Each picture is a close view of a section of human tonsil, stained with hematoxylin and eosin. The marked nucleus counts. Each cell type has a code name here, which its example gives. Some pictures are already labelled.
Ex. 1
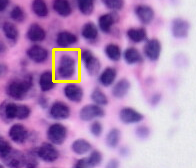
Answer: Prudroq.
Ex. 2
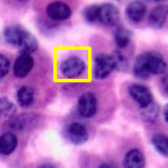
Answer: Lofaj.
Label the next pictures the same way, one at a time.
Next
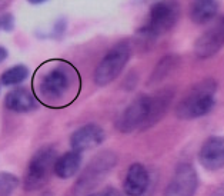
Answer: Lofaj.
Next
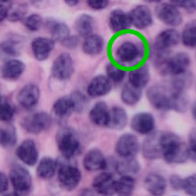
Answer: Prudroq.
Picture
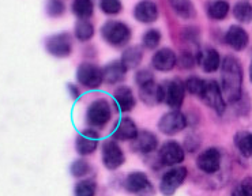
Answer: Prudroq.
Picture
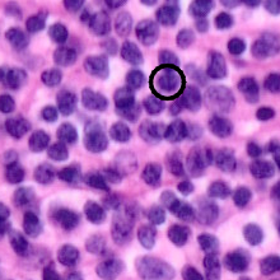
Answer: Prudroq.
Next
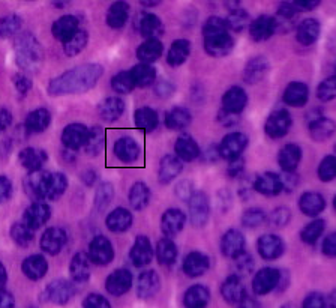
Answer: Lofaj.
